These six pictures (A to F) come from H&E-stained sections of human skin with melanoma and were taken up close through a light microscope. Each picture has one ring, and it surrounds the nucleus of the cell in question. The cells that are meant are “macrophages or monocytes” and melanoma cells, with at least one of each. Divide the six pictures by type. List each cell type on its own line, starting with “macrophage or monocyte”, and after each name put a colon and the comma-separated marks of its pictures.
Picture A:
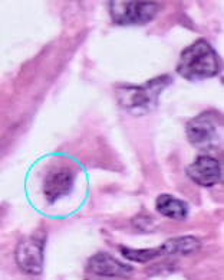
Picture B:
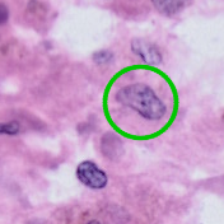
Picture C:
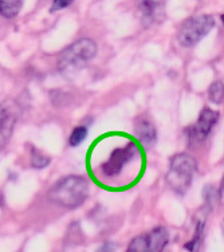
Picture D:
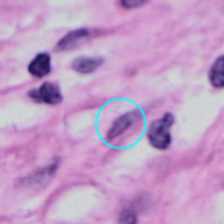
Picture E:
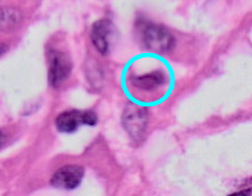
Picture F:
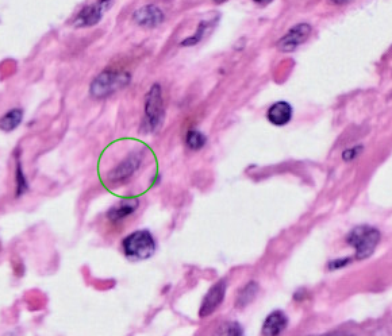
macrophage or monocyte: B, D, F
melanoma cell: A, C, E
